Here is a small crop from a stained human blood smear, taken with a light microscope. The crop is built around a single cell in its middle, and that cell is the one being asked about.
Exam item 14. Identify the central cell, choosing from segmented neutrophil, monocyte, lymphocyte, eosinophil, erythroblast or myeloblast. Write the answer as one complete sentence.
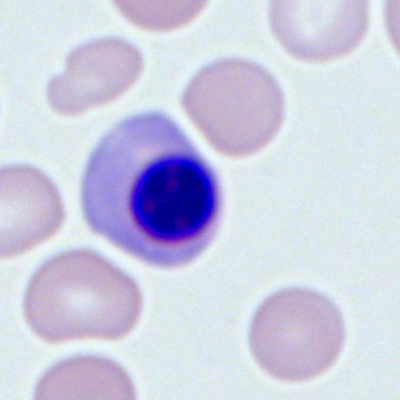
The central cell in this smear crop is an erythroblast.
